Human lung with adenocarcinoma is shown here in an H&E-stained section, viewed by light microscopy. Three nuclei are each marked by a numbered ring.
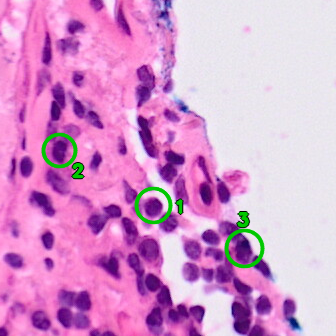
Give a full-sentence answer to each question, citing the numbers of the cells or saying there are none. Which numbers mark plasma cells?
With the exception of cell 2, no marked cell is a plasma cell.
